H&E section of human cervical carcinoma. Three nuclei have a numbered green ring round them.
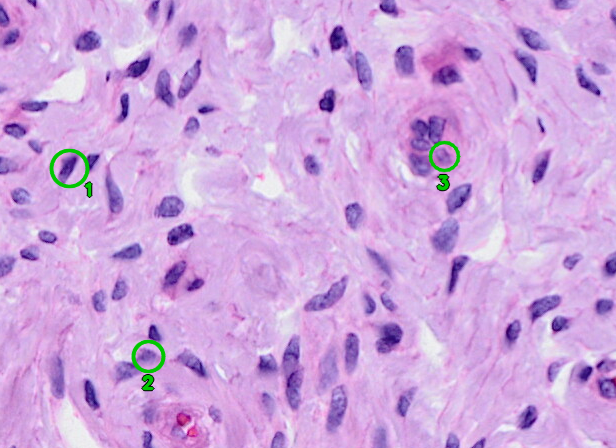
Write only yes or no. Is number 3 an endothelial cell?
yes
